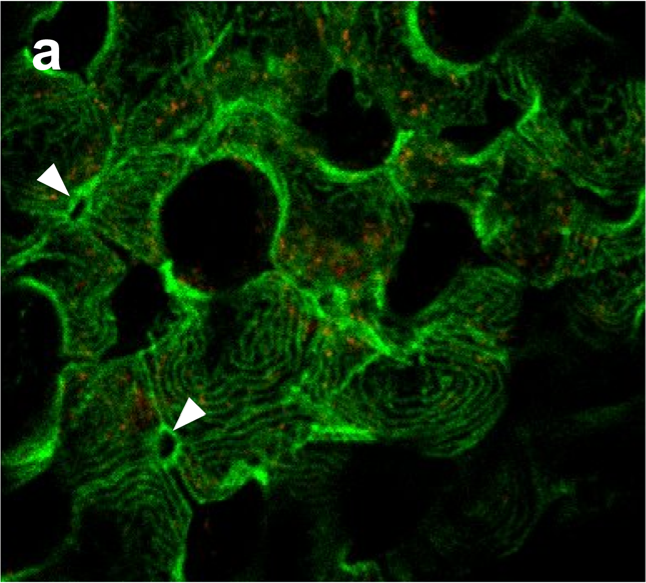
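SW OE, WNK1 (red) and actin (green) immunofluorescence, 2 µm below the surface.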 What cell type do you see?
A: Pavement cells.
